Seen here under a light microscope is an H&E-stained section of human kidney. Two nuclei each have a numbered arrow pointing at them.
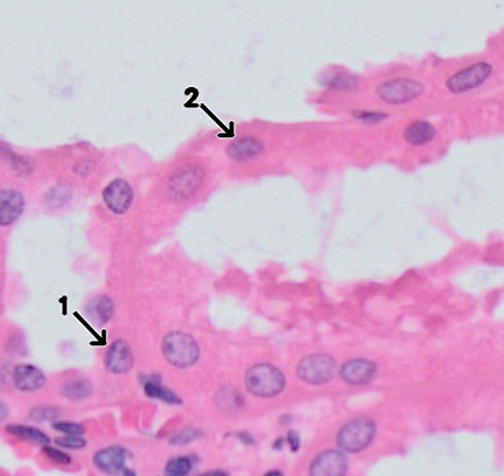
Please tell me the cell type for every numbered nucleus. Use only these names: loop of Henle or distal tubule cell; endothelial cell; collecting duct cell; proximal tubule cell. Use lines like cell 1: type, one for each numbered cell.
cell 1: loop of Henle or distal tubule cell
cell 2: proximal tubule cell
